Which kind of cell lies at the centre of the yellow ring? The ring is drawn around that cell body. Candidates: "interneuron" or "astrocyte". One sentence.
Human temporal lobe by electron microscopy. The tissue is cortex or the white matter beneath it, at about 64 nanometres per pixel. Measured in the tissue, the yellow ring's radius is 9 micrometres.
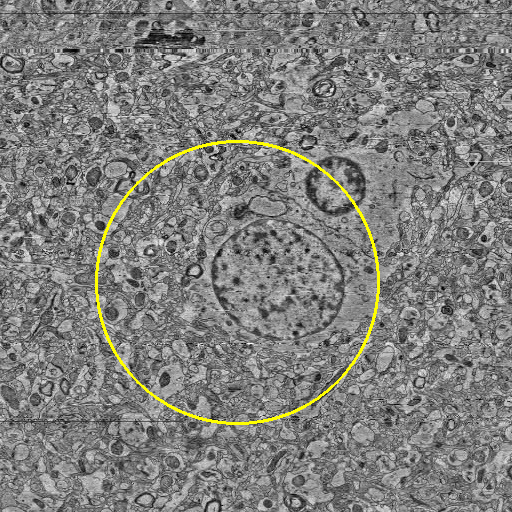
Lying at the centre of the ring is an astrocyte.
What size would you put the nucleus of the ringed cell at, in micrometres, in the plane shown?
In this plane, roughly 8 micrometres across.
